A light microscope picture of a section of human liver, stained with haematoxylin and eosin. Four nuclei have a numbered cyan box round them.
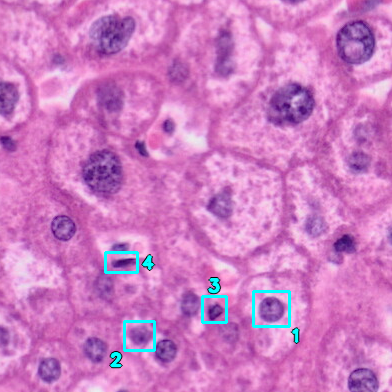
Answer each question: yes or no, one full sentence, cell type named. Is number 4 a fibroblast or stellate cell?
No, the cell given number 4 is an endothelial cell, not a fibroblast or stellate cell.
